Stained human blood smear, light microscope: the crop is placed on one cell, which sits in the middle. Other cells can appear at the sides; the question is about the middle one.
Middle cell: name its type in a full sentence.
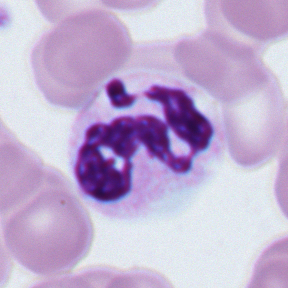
At the middle of the frame sits a neutrophil.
